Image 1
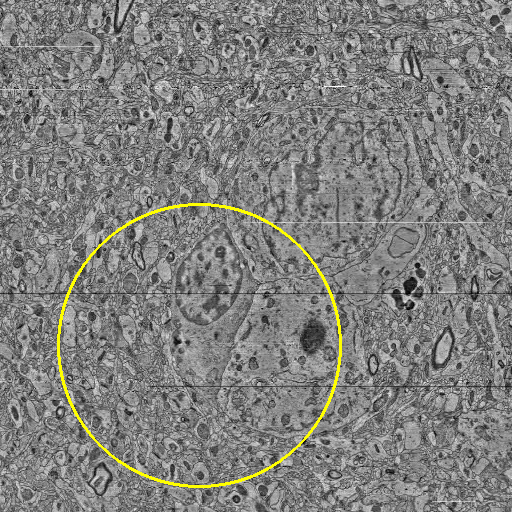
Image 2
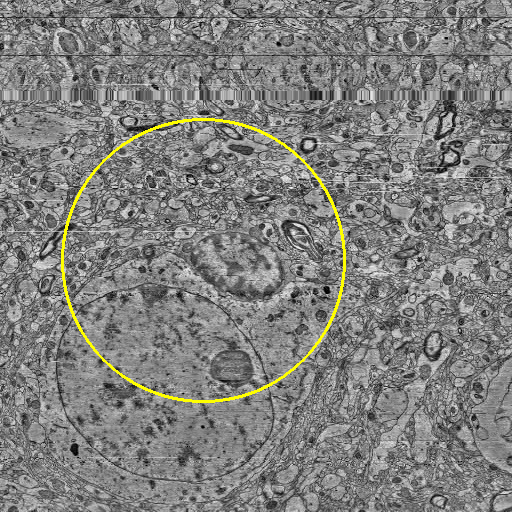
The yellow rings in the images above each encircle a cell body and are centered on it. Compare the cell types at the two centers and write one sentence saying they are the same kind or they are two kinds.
Taken together, the two cells at the ring centers are the same kind.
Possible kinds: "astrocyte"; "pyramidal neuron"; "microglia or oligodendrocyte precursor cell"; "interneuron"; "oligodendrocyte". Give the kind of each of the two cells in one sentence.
In each of the two pictures, the ringed cell is an oligodendrocyte.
